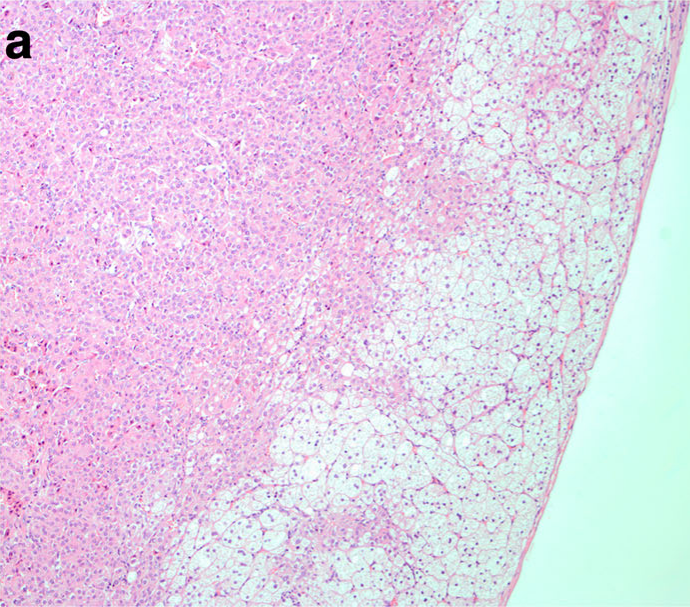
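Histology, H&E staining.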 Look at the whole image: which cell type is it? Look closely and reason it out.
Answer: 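Clear and acidophilic cells. The left part is a sheet of cells with pink cytoplasm. The right part is made of larger cells with pale, foamy cytoplasm outlined by thin pink borders.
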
